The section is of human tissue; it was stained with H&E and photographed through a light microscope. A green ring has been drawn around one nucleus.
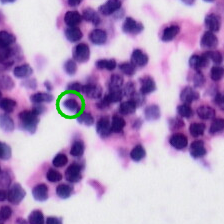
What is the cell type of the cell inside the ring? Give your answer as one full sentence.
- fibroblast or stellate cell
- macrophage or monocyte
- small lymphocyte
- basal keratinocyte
In cell-type terms, the cell inside the ring is a small lymphocyte.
